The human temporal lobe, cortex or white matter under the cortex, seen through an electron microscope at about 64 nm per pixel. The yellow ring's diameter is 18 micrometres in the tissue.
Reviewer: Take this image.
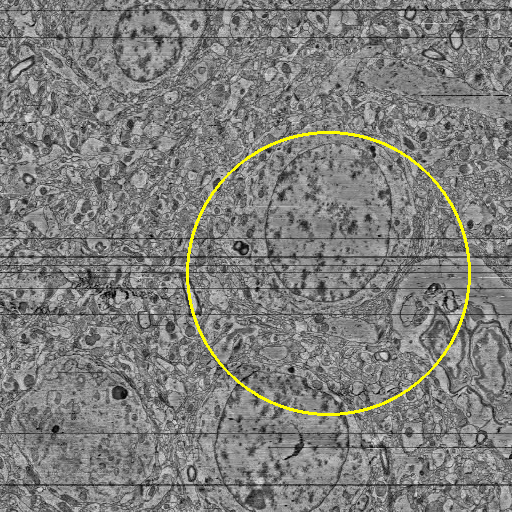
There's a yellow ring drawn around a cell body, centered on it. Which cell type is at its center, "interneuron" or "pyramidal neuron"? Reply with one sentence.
At the center of the yellow ring is a pyramidal neuron.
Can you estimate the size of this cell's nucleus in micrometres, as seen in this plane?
In this plane the nucleus measures roughly 11 by 9 micrometers.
